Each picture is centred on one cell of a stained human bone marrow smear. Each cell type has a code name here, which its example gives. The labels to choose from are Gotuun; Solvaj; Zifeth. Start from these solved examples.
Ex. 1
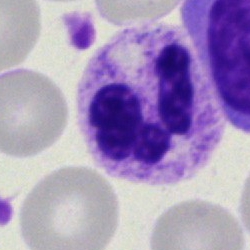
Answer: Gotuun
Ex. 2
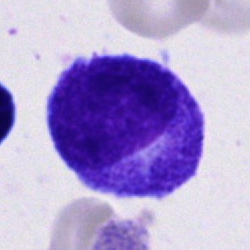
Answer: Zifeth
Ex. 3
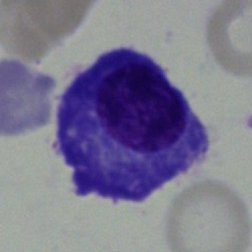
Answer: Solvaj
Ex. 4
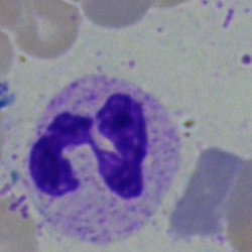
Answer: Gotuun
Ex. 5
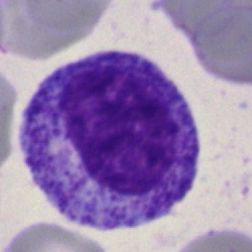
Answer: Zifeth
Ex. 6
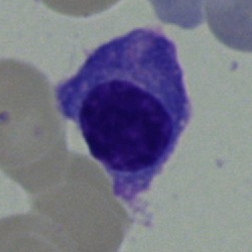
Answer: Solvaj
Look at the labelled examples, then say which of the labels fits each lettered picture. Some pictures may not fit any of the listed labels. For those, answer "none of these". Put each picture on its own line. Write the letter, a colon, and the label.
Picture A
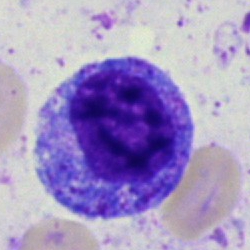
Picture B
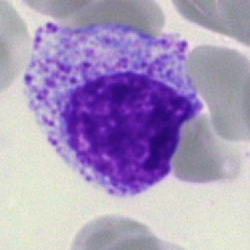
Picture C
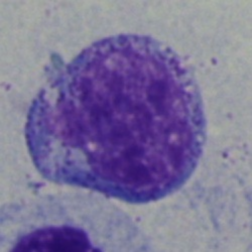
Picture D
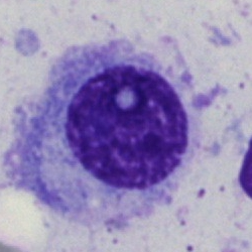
A: Zifeth
B: none of these
C: Zifeth
D: Solvaj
